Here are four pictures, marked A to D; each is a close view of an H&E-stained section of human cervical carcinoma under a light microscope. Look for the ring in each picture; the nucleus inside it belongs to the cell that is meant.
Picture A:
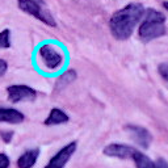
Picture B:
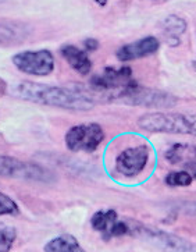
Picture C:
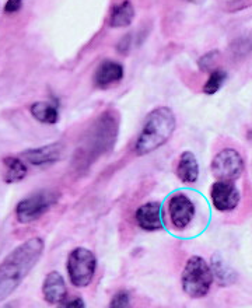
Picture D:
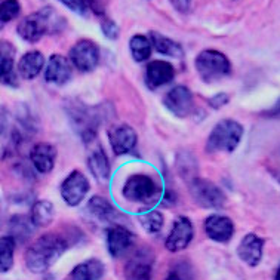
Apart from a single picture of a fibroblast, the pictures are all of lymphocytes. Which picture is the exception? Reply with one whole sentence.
Picture A is the one that shows the fibroblast.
